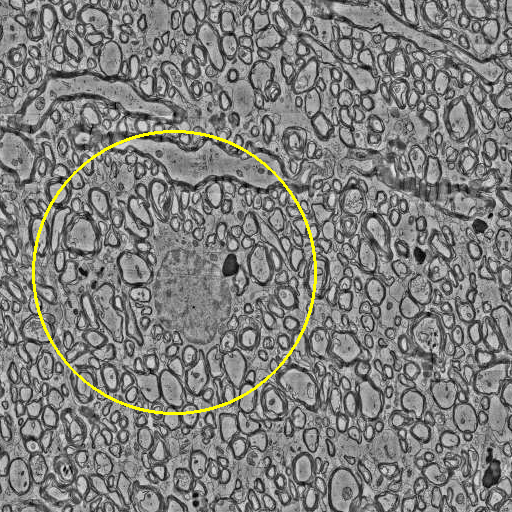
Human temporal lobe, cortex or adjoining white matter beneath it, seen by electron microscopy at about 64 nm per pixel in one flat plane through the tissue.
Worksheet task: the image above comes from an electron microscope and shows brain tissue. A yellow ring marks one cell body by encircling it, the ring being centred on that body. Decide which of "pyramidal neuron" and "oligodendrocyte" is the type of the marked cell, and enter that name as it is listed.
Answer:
oligodendrocyte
